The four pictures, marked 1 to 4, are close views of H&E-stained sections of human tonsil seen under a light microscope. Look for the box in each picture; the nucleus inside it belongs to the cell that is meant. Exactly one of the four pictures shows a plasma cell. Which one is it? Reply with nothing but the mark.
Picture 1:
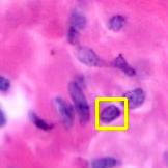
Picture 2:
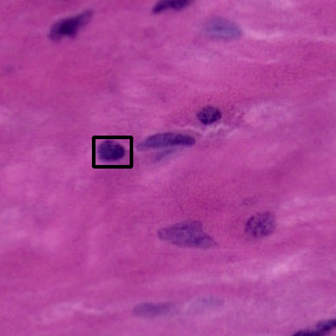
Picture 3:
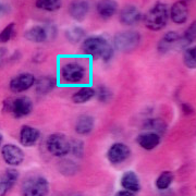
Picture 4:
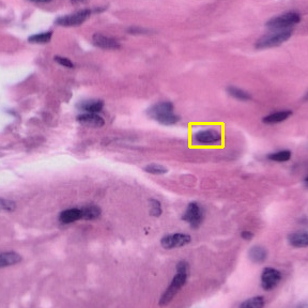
3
